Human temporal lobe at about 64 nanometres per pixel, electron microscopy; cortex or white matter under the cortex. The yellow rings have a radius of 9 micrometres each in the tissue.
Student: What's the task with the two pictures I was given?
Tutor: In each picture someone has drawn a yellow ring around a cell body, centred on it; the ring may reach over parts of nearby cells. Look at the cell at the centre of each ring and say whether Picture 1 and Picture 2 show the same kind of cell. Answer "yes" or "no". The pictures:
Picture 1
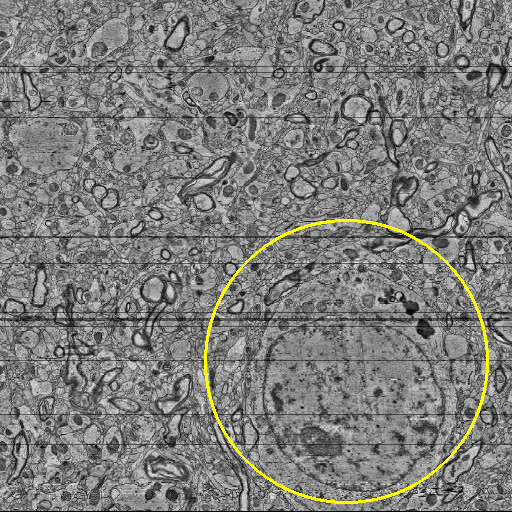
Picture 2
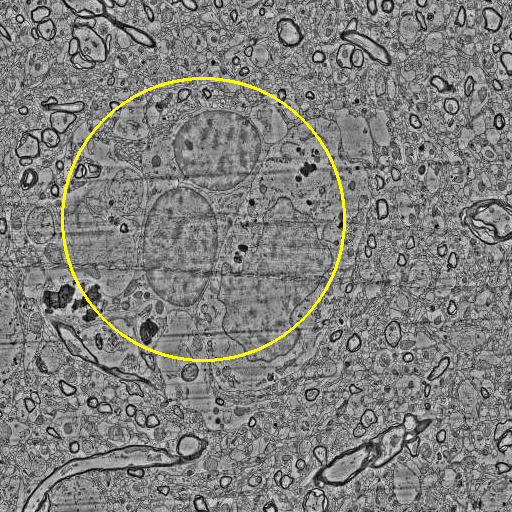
no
